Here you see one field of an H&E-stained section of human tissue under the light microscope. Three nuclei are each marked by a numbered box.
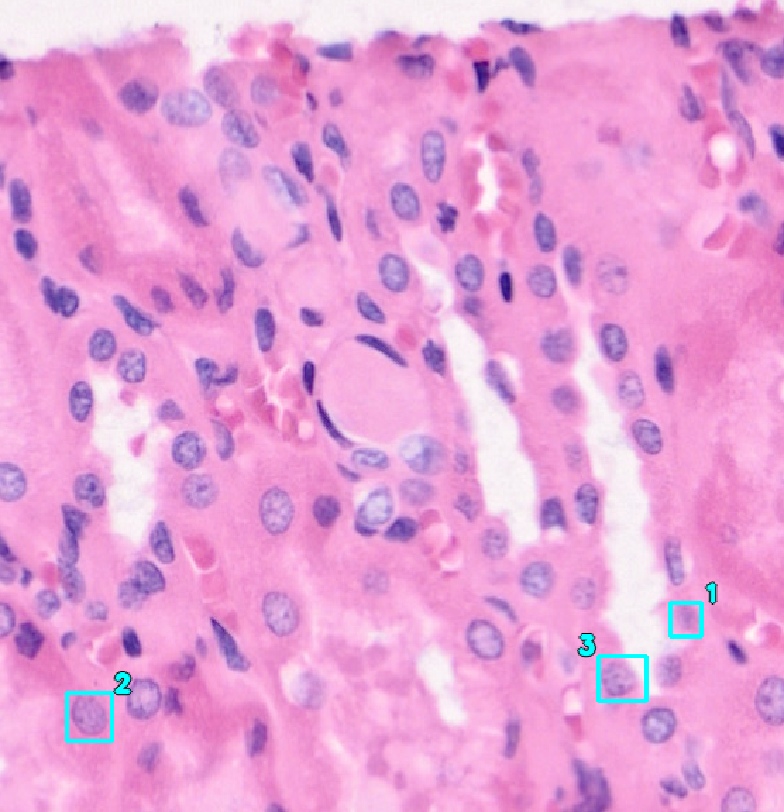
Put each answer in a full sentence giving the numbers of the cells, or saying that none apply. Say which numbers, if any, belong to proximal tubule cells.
Of all the numbered cells, only one is a proximal tubule cell, and that is cell 2.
